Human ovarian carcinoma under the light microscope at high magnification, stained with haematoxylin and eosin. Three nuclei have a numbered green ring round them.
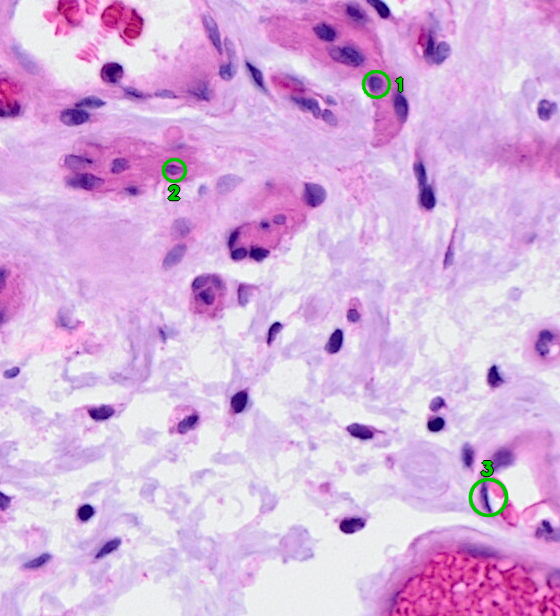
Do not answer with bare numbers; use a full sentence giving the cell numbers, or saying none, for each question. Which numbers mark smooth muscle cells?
The cells tagged with numbers 1 and 2 are smooth muscle cells.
